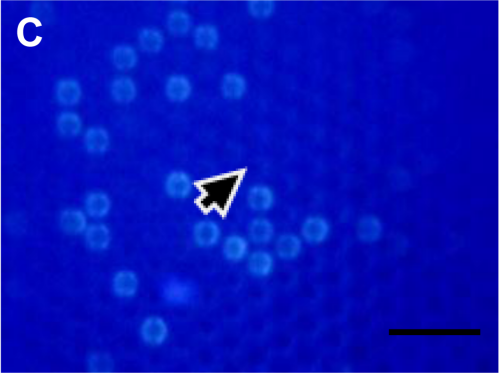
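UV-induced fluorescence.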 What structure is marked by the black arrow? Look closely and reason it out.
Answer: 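Ommatidium. Round fluorescent units of equal size are scattered in a regular array.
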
